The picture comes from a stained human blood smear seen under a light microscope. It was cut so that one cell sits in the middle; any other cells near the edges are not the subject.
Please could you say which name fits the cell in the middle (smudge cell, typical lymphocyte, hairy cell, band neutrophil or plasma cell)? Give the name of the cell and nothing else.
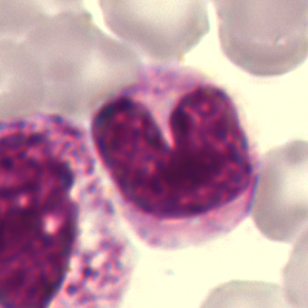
band neutrophil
